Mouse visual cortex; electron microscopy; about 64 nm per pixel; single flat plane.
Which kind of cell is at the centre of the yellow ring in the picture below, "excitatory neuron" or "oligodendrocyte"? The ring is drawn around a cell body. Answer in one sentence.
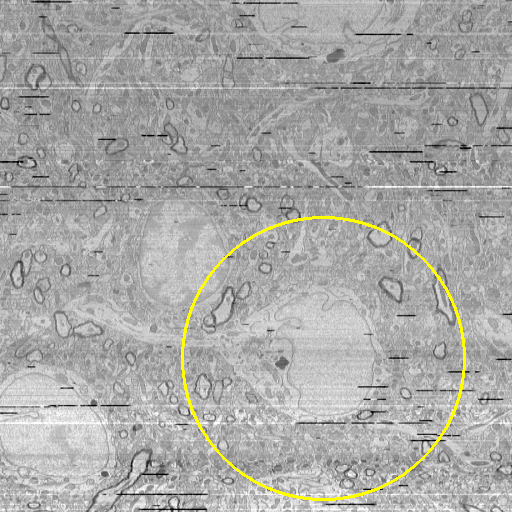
The ring's central cell is an excitatory neuron.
